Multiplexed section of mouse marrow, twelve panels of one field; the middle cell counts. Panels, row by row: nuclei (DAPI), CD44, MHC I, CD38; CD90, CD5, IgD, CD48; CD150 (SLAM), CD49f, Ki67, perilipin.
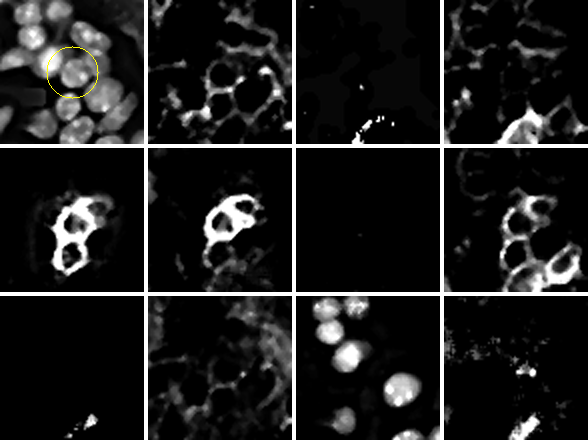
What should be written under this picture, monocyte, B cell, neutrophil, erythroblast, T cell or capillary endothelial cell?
T cell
